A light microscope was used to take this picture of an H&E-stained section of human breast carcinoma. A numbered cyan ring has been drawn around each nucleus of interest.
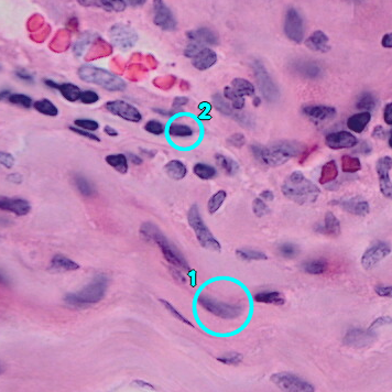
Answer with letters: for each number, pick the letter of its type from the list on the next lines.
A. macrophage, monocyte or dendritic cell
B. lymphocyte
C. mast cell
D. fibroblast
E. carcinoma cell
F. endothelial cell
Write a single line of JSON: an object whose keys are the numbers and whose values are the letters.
{"1": "D", "2": "B"}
